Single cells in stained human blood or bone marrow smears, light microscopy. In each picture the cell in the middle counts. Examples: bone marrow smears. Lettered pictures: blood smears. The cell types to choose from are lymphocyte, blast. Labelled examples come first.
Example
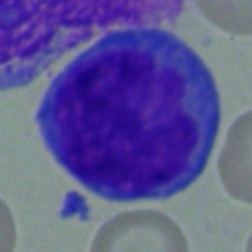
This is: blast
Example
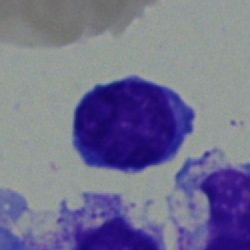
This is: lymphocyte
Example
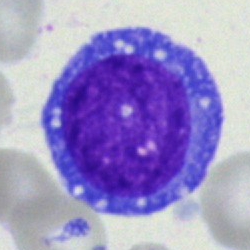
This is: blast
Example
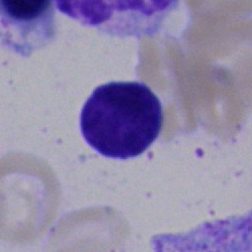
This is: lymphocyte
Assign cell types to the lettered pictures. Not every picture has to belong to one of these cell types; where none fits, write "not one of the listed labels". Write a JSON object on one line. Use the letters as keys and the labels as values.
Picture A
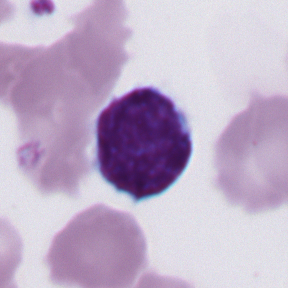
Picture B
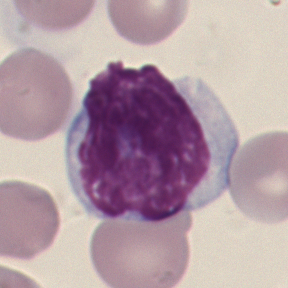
{"A": "lymphocyte", "B": "blast"}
